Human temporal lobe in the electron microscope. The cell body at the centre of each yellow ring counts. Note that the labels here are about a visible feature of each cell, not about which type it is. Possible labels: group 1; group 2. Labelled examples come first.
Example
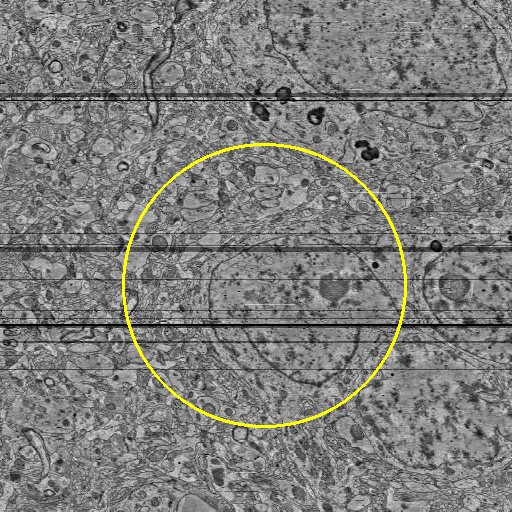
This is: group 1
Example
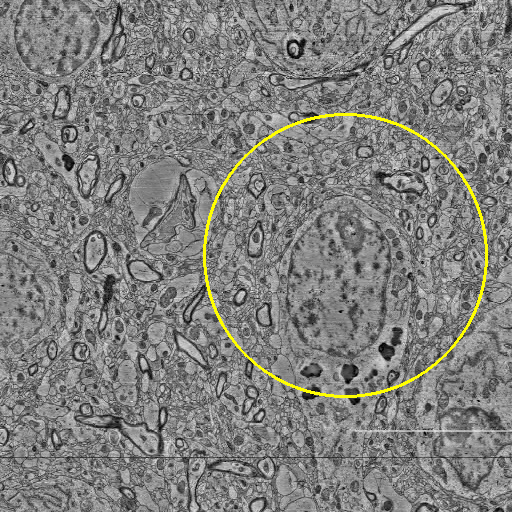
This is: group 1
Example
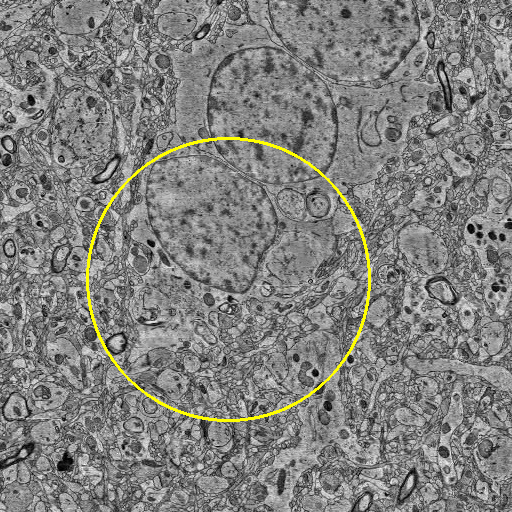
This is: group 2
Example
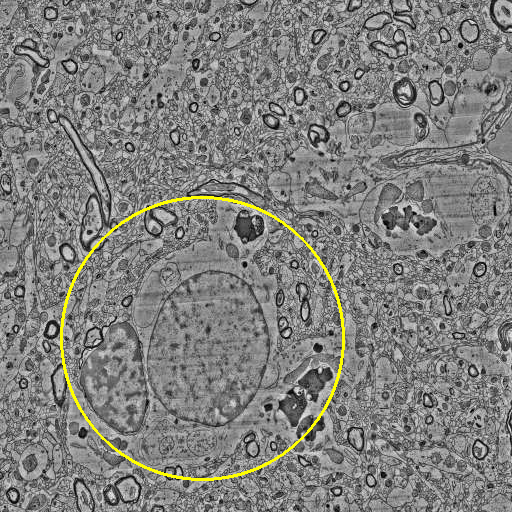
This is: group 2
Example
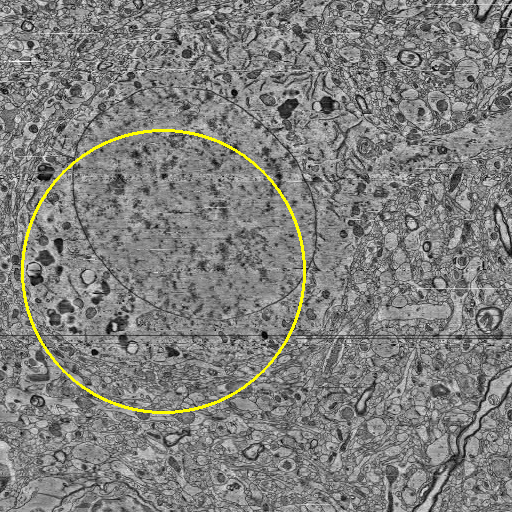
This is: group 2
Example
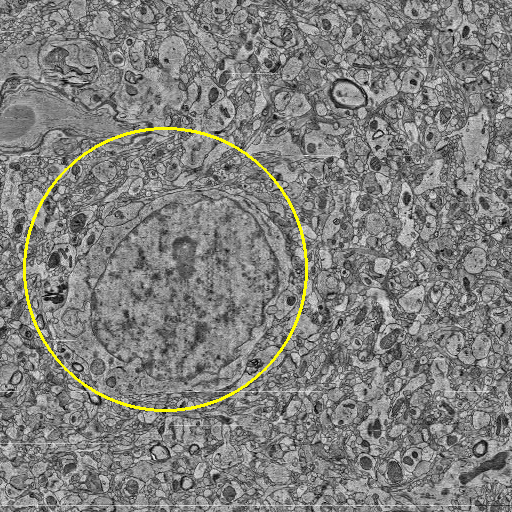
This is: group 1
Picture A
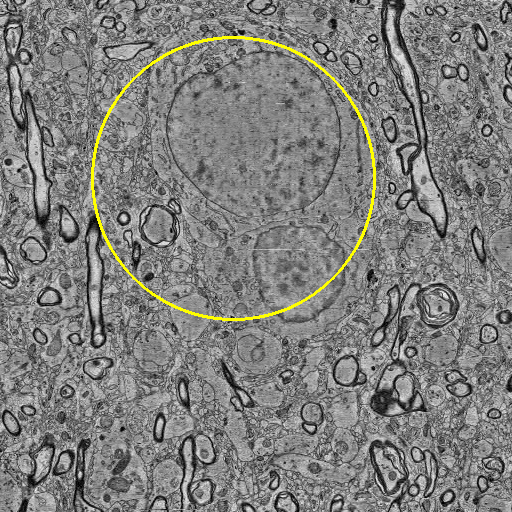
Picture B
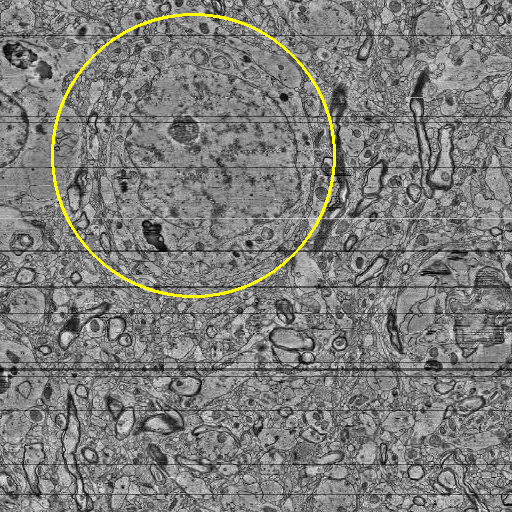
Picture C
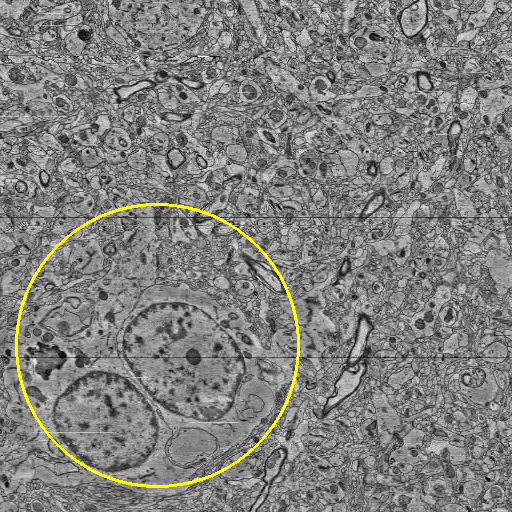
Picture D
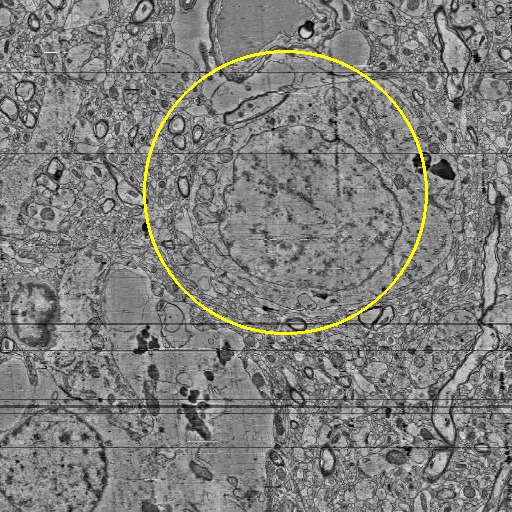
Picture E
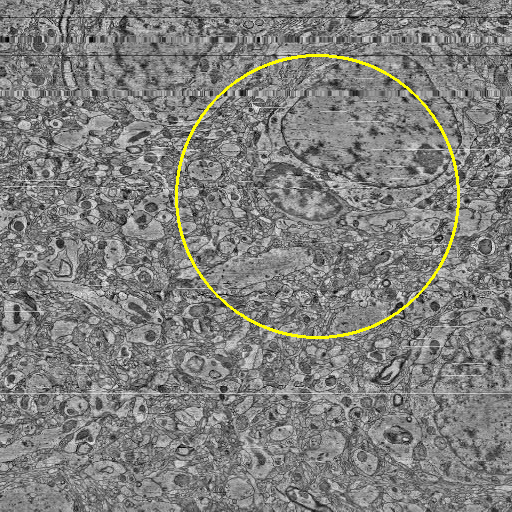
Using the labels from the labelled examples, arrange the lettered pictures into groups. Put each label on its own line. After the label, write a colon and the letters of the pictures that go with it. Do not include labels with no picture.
group 1: B, C
group 2: A, D, E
